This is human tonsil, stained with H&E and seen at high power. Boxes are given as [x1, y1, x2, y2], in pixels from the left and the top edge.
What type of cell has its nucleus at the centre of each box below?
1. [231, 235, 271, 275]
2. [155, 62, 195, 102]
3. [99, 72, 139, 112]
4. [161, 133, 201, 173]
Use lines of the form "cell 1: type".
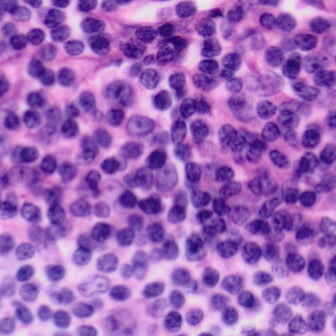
cell 1: small lymphocyte
cell 2: small lymphocyte
cell 3: proliferating B cell
cell 4: small lymphocyte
